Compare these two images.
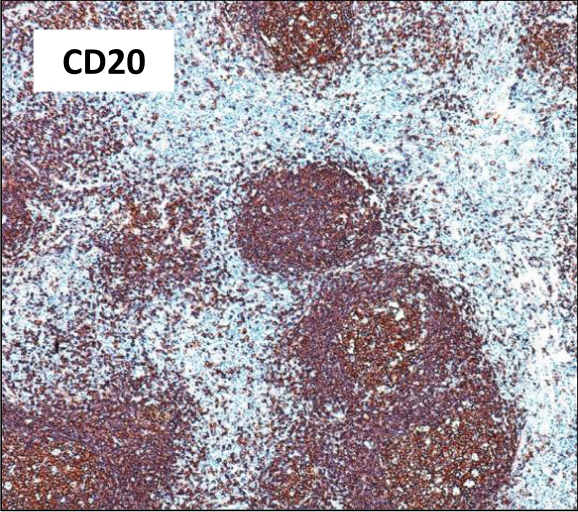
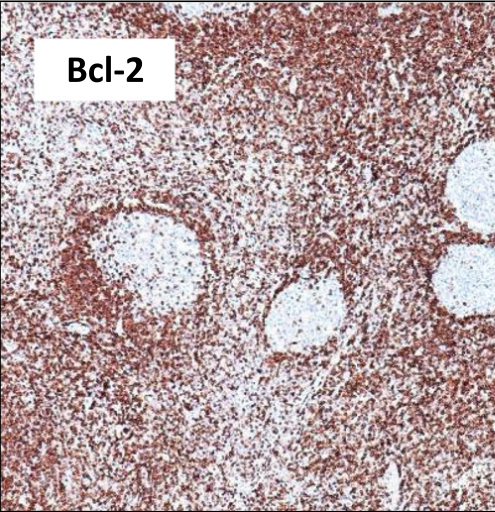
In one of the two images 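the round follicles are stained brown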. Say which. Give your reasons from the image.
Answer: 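The first image. Second image: the round nodules are pale blue, surrounded by brown-stained tissue. First image: the round nodules are densely brown, surrounded by paler tissue.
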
